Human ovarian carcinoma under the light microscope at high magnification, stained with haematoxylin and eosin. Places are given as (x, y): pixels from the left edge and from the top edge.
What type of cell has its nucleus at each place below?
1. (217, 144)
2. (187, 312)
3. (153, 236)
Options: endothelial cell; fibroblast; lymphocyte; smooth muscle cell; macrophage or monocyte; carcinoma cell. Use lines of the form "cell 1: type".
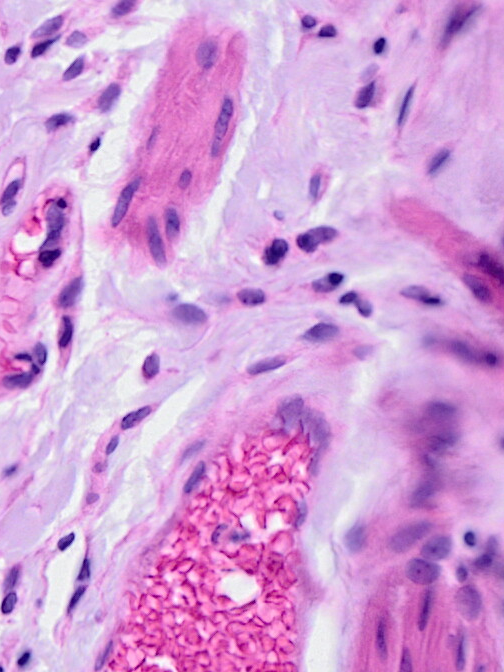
cell 1: smooth muscle cell
cell 2: fibroblast
cell 3: smooth muscle cell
